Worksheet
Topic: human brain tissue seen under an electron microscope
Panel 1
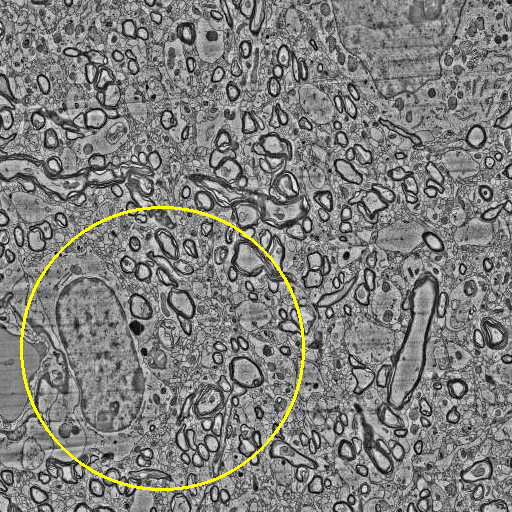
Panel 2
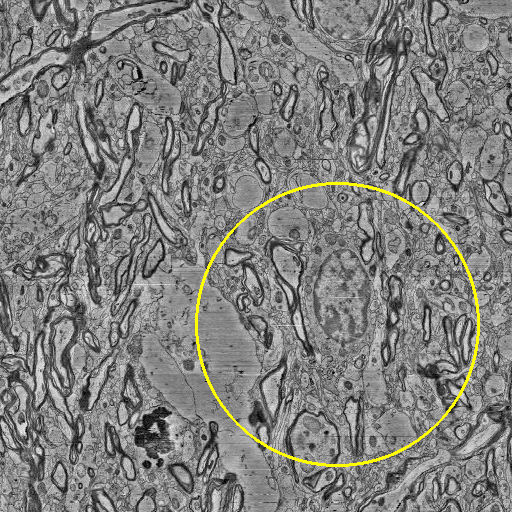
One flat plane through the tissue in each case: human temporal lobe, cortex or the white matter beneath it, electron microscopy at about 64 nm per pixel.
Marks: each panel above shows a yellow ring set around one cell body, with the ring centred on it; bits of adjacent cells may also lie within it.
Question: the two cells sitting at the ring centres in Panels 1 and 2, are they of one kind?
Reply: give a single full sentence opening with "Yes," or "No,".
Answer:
Yes, the two ring-centre cells in Panel 1 and Panel 2 are of one kind.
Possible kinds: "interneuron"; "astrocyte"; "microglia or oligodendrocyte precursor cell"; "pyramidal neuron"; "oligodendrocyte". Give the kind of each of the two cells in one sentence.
Each of the two rings is centred on an oligodendrocyte.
